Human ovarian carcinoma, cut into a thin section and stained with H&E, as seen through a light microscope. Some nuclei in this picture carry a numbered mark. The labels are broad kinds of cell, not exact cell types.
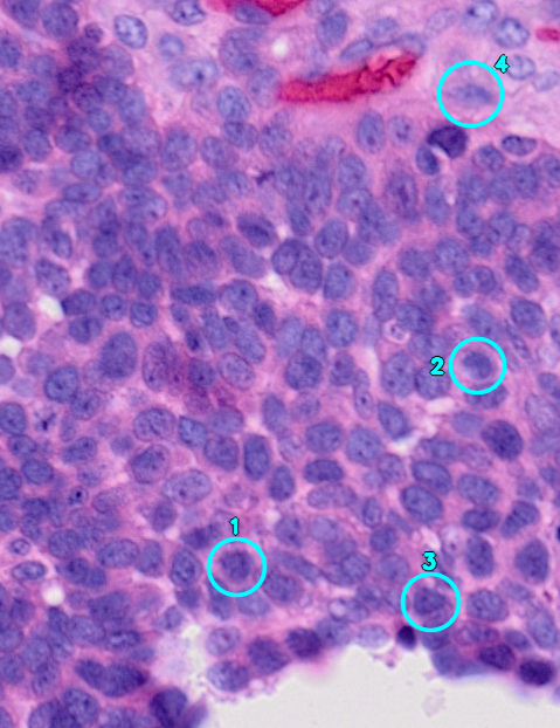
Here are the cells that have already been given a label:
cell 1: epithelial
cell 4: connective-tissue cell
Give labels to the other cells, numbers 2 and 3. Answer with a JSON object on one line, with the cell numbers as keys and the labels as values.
{"2": "epithelial", "3": "epithelial"}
